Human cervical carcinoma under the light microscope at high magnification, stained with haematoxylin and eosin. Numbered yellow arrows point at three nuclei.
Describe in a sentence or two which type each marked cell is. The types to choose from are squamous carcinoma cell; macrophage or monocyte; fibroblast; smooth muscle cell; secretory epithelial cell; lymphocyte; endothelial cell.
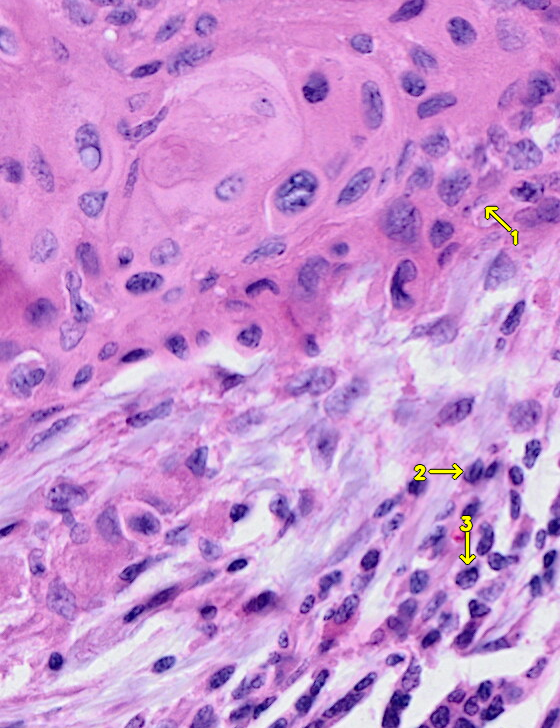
Cell 1 is a squamous carcinoma cell. Cells 2 and 3 are lymphocytes.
